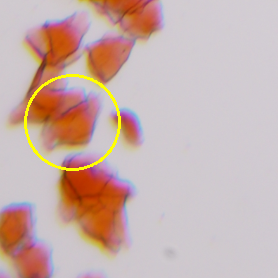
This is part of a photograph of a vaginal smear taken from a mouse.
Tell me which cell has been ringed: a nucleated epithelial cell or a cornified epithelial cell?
It is a cornified epithelial cell.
